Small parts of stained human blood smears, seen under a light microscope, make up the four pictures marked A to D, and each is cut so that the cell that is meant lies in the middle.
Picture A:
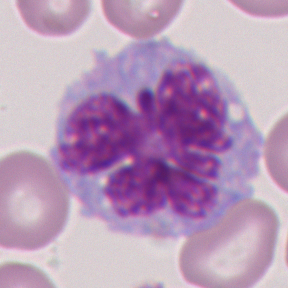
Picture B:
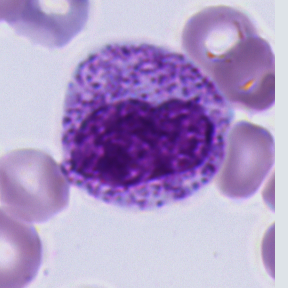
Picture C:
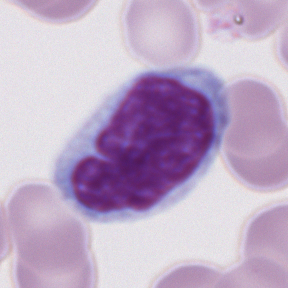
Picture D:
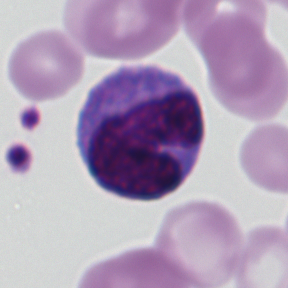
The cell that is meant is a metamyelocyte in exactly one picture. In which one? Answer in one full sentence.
It is picture B that shows the metamyelocyte.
